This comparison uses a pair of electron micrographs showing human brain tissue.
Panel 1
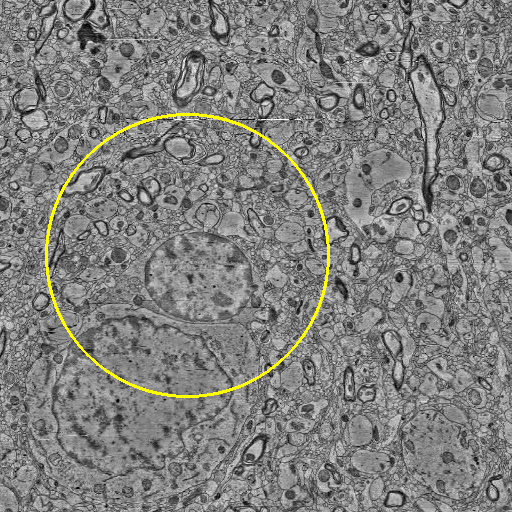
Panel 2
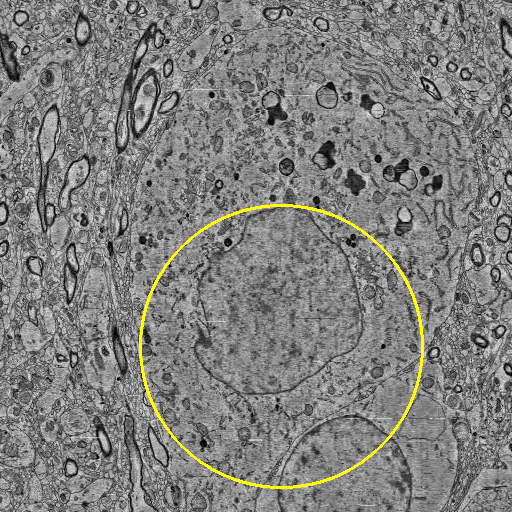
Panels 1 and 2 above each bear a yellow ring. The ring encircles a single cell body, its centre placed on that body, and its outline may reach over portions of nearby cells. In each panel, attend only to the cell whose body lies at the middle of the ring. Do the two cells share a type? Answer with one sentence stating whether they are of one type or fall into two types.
In Panel 1 and Panel 2, the cells at the centres of the rings fall into two types.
